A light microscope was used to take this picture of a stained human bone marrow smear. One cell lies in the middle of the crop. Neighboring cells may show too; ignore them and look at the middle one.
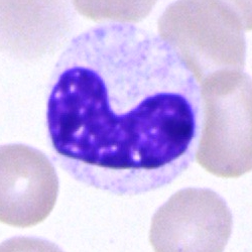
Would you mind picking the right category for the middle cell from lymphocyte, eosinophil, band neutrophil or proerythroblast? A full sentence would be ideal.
Of the cells in this crop, the central one is a band neutrophil.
